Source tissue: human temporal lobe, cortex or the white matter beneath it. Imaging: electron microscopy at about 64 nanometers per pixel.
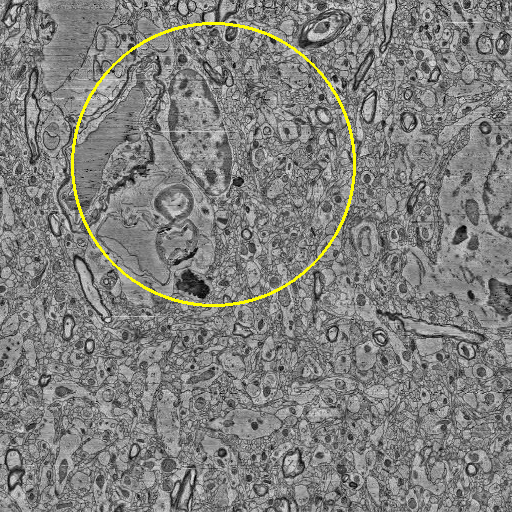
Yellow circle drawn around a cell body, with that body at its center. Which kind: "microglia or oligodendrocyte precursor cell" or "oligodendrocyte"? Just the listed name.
microglia or oligodendrocyte precursor cell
